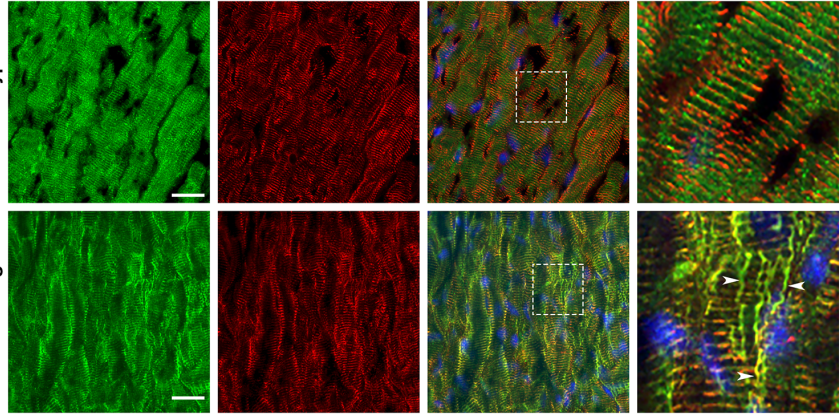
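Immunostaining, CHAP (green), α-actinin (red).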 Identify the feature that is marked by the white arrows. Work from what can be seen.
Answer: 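The white arrowheads point to bright yellow-green lines running along the edges of the muscle cells. These lines are continuous rather than striated. So: stress fiber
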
